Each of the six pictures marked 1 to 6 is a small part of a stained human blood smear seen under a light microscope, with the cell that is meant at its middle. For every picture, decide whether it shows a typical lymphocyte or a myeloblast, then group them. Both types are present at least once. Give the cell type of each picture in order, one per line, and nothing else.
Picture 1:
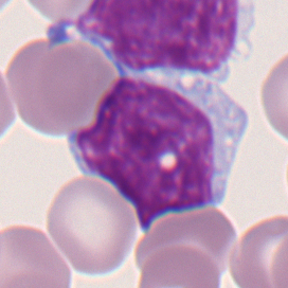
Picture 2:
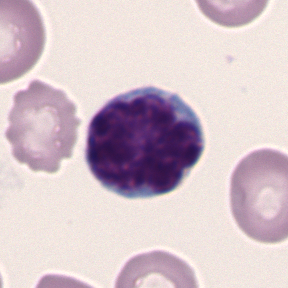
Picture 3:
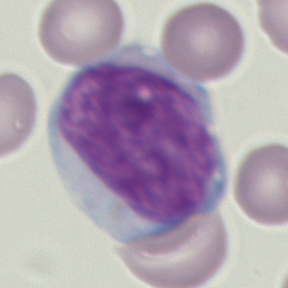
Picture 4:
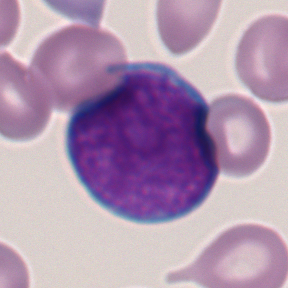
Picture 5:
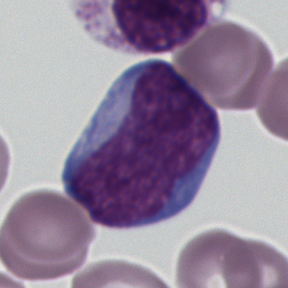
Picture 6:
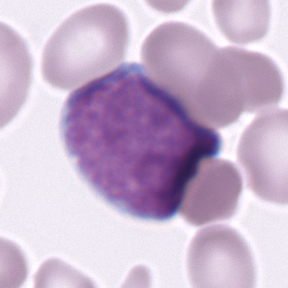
typical lymphocyte
typical lymphocyte
myeloblast
myeloblast
myeloblast
myeloblast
